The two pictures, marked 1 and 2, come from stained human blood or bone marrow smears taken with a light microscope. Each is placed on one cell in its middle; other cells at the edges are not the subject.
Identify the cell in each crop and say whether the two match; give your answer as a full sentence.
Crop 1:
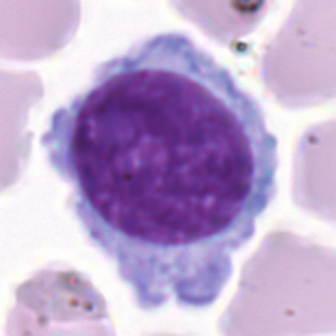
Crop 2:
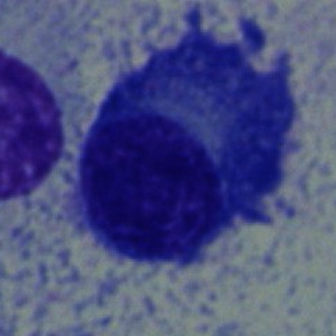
Yes, the first and the second crop both show plasma cells.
